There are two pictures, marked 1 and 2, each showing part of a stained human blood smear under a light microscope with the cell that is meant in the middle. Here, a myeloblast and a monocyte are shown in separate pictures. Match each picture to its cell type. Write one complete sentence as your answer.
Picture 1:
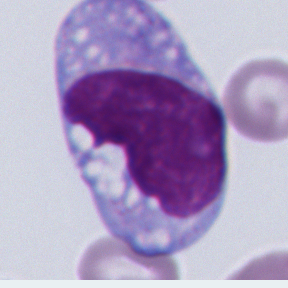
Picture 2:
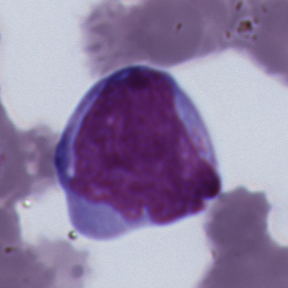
Picture 1 is of a monocyte, and picture 2 is of a myeloblast.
